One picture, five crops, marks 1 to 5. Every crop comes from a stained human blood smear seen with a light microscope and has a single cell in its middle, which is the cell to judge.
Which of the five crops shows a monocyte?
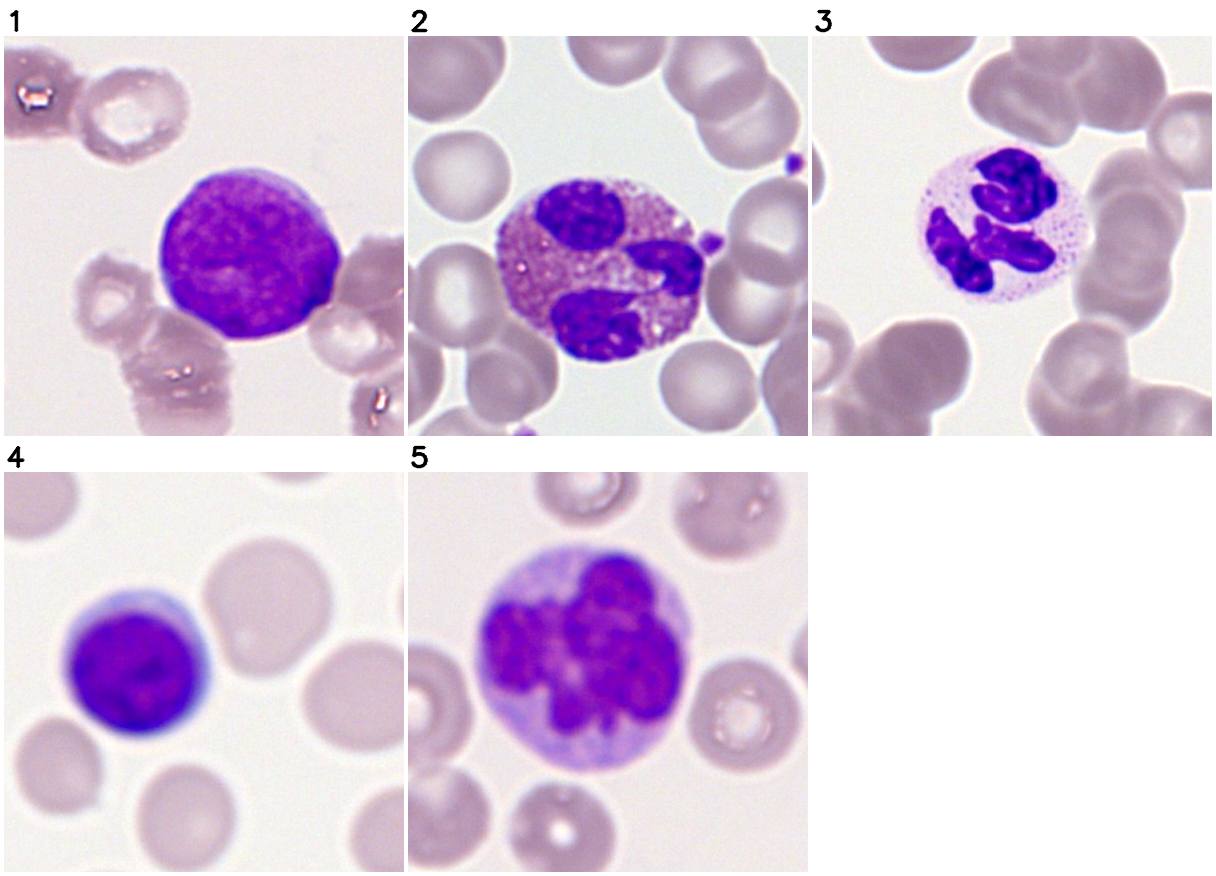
5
